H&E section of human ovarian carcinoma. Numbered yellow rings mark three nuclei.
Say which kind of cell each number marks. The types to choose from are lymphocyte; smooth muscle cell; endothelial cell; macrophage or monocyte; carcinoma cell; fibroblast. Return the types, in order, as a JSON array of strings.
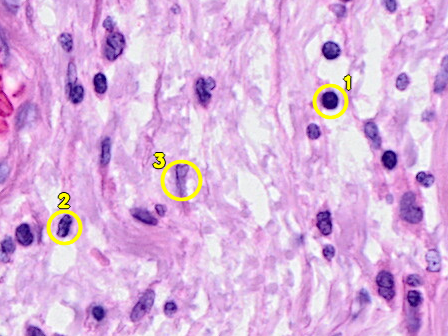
["lymphocyte", "lymphocyte", "fibroblast"]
